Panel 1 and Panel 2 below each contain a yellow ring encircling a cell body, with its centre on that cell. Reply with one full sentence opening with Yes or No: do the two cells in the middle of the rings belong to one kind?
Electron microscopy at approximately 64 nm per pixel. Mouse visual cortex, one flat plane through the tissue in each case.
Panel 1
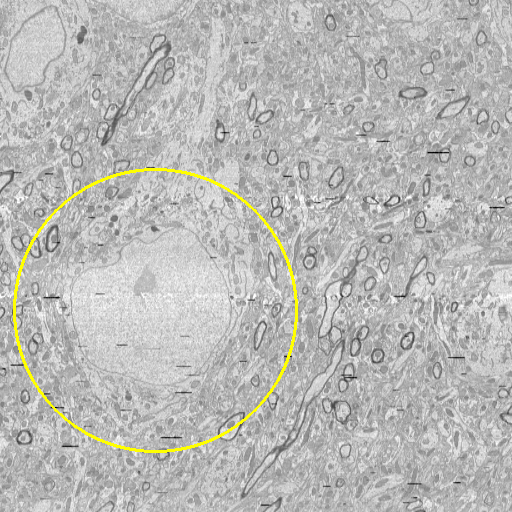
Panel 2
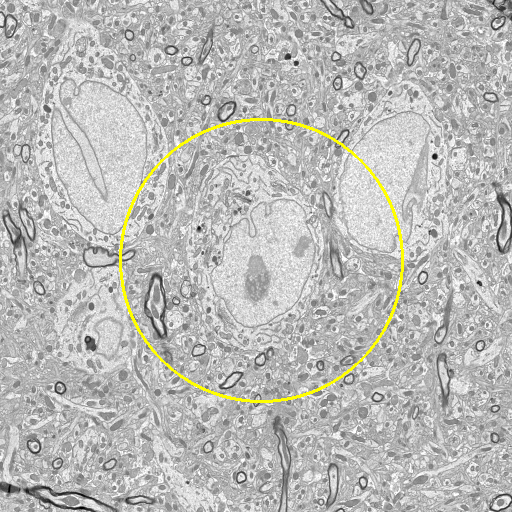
No, the cells at the middle of the Panel 1 ring and the Panel 2 ring are of two kinds.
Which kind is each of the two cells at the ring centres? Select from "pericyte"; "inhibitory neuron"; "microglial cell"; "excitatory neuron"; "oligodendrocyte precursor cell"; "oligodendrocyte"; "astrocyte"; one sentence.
The cell at the centre of the ring is an excitatory neuron in the first picture and an inhibitory neuron in the second.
